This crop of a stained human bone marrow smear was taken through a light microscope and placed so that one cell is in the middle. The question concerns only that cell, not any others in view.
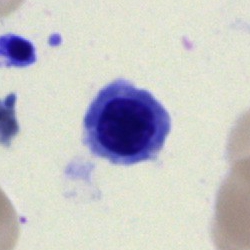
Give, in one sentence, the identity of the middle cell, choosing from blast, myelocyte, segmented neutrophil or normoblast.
In short, the cell at the center is a normoblast.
